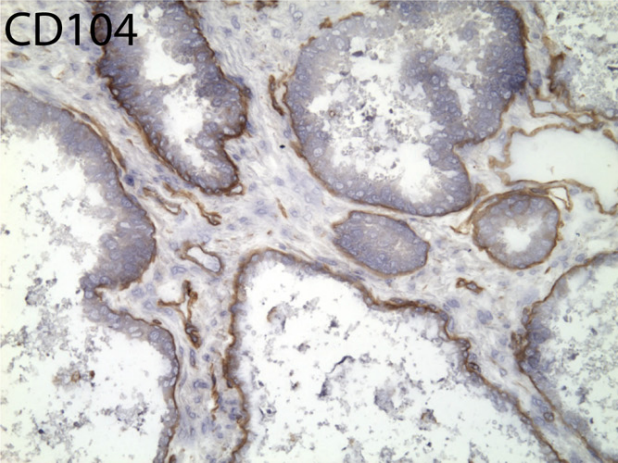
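Several prostatic glands with wide lumina, some containing pale granular material, lie in a loose interglandular stroma. Each gland is lined by an epithelium of columnar cells with blue nuclei surrounding the lumen. A thin, continuous brown line runs along the outer edge of the epithelium, where it meets the stroma, tracing the contour of each gland, including small glands cut in cross section. The luminal cells themselves are not brown. The stroma between the glands contains scattered elongated nuclei in pale fibrous tissue.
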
